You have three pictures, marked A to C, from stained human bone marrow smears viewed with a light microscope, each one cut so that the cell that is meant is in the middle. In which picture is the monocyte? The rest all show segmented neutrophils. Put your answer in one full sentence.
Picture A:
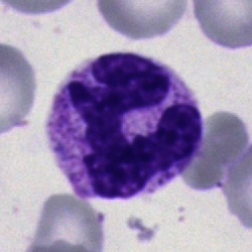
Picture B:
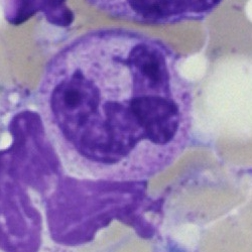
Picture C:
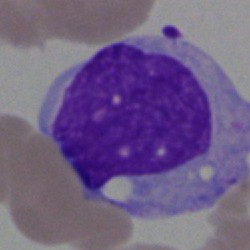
Picture C shows the monocyte.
